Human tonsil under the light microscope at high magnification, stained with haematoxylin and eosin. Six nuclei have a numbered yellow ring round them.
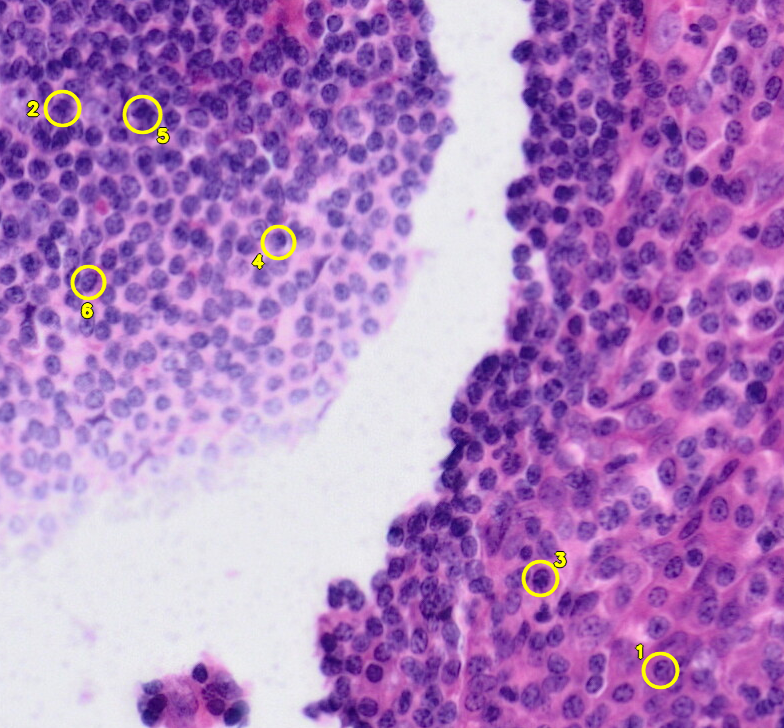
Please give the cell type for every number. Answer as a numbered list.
1. plasma cell
2. small lymphocyte
3. plasma cell
4. small lymphocyte
5. small lymphocyte
6. small lymphocyte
